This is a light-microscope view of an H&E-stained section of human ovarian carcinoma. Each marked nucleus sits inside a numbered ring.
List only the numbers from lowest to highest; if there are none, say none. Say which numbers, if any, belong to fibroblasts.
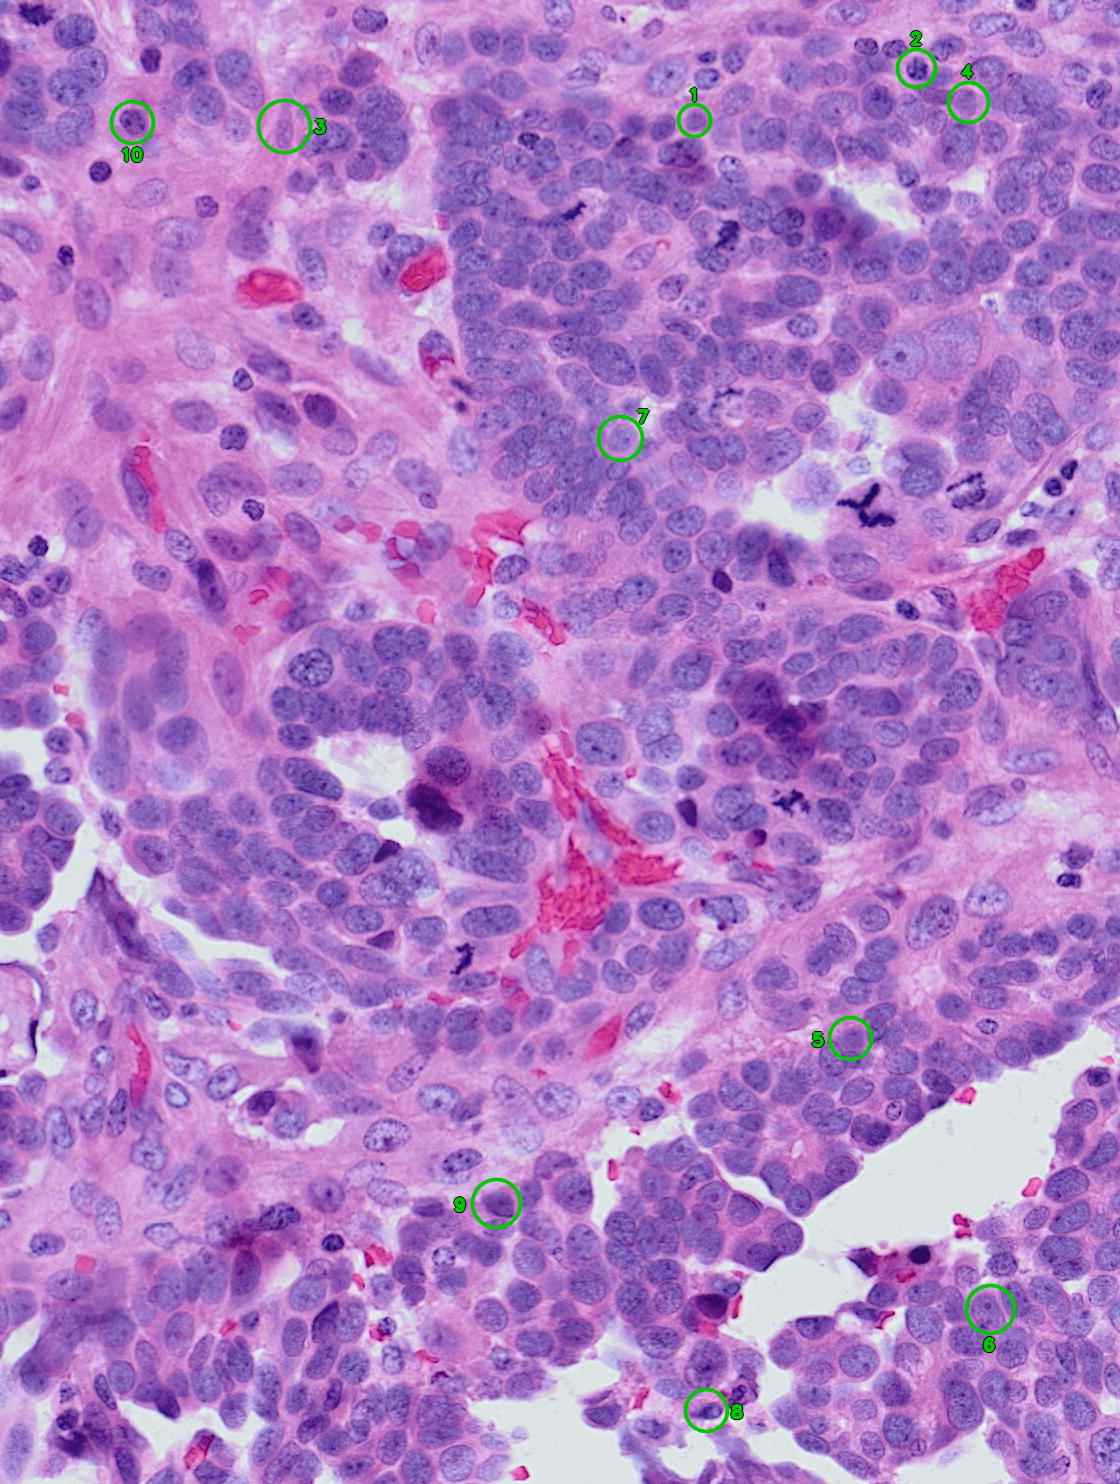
3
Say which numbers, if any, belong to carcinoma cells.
1, 4, 5, 6, 7, 9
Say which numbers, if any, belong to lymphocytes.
2, 10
